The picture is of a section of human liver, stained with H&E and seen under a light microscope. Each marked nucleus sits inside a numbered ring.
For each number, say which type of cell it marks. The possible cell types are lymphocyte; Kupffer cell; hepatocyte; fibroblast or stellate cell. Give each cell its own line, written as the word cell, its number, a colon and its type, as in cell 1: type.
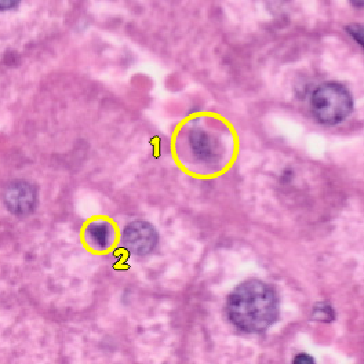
cell 1: Kupffer cell
cell 2: fibroblast or stellate cell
